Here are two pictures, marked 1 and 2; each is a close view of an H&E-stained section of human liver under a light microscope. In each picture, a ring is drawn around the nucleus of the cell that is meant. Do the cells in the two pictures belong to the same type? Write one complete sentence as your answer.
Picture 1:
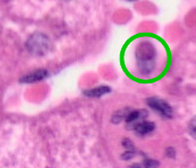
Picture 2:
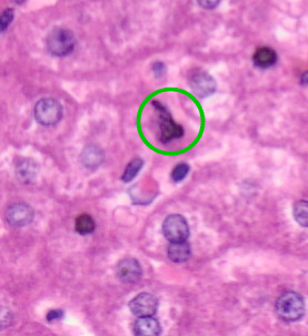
Yes, they are the same type: both are Kupffer cells.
